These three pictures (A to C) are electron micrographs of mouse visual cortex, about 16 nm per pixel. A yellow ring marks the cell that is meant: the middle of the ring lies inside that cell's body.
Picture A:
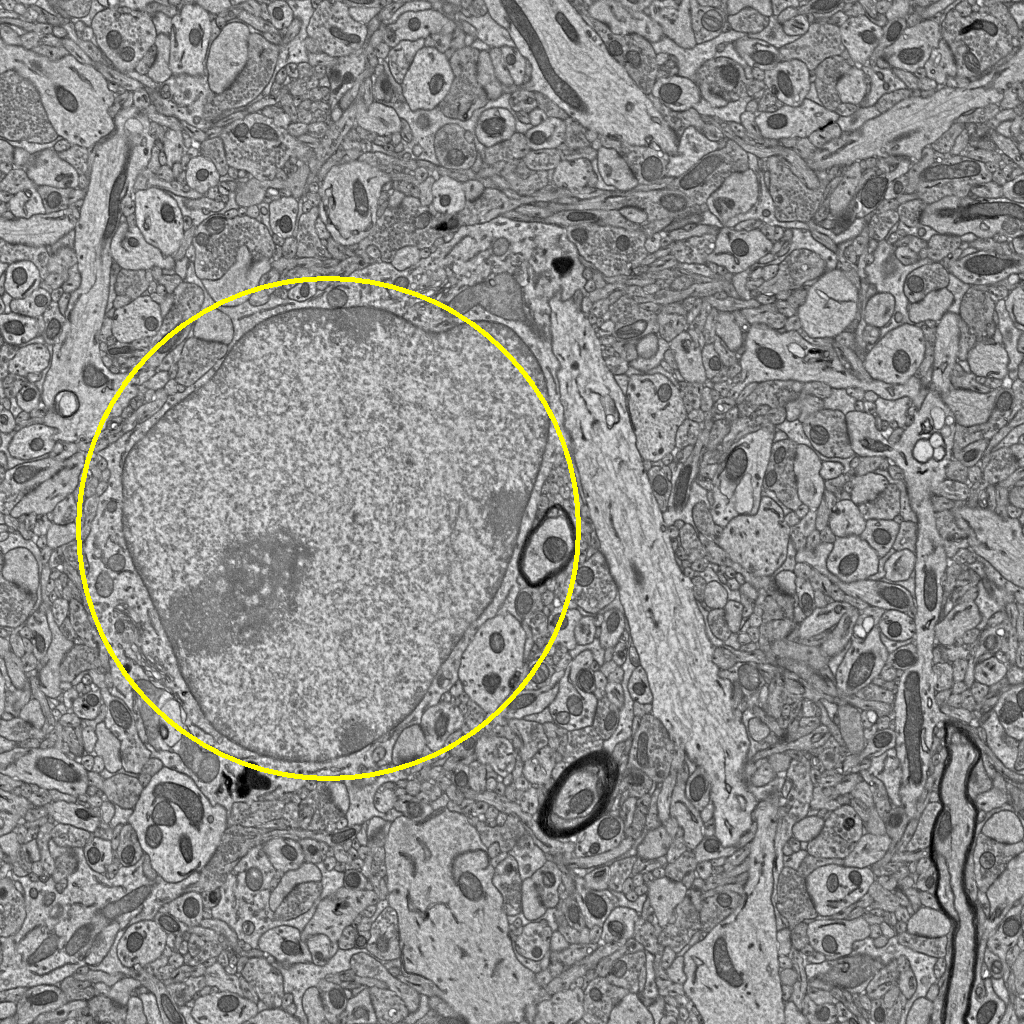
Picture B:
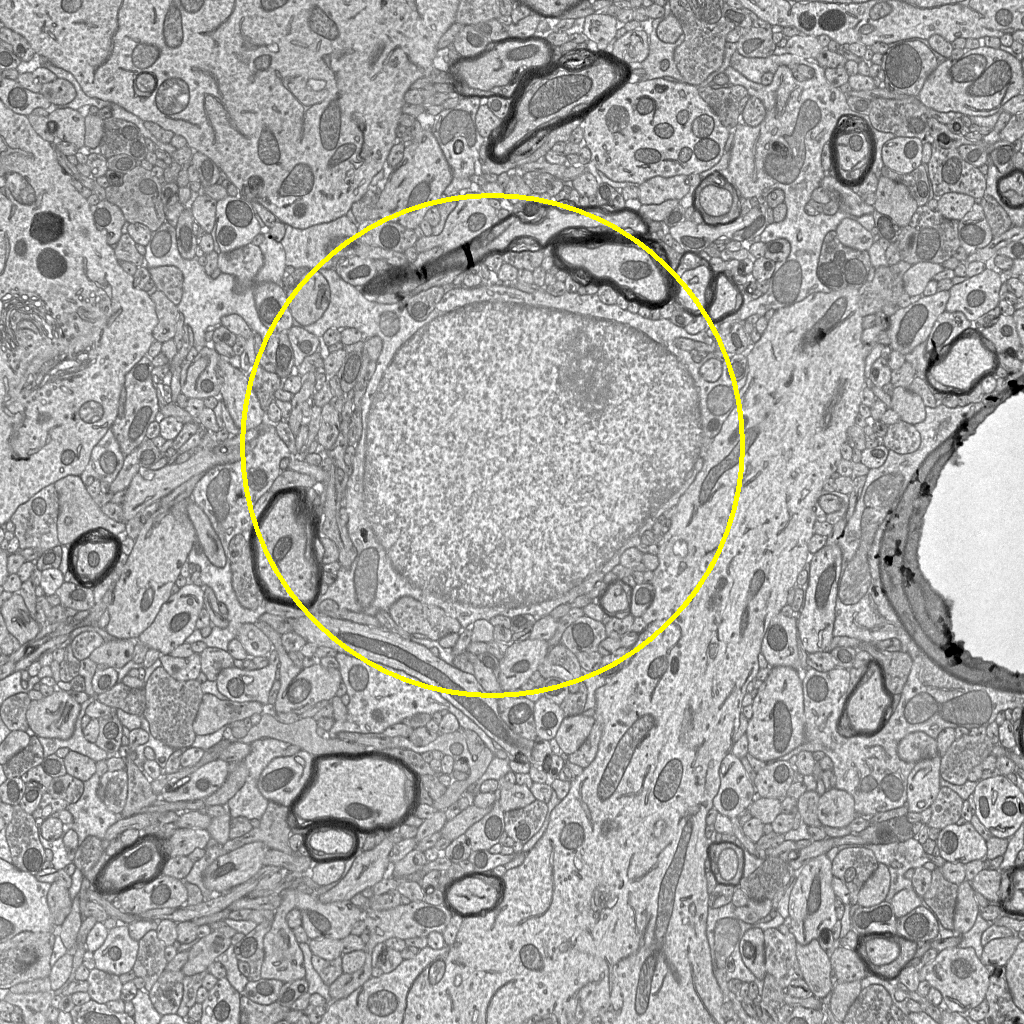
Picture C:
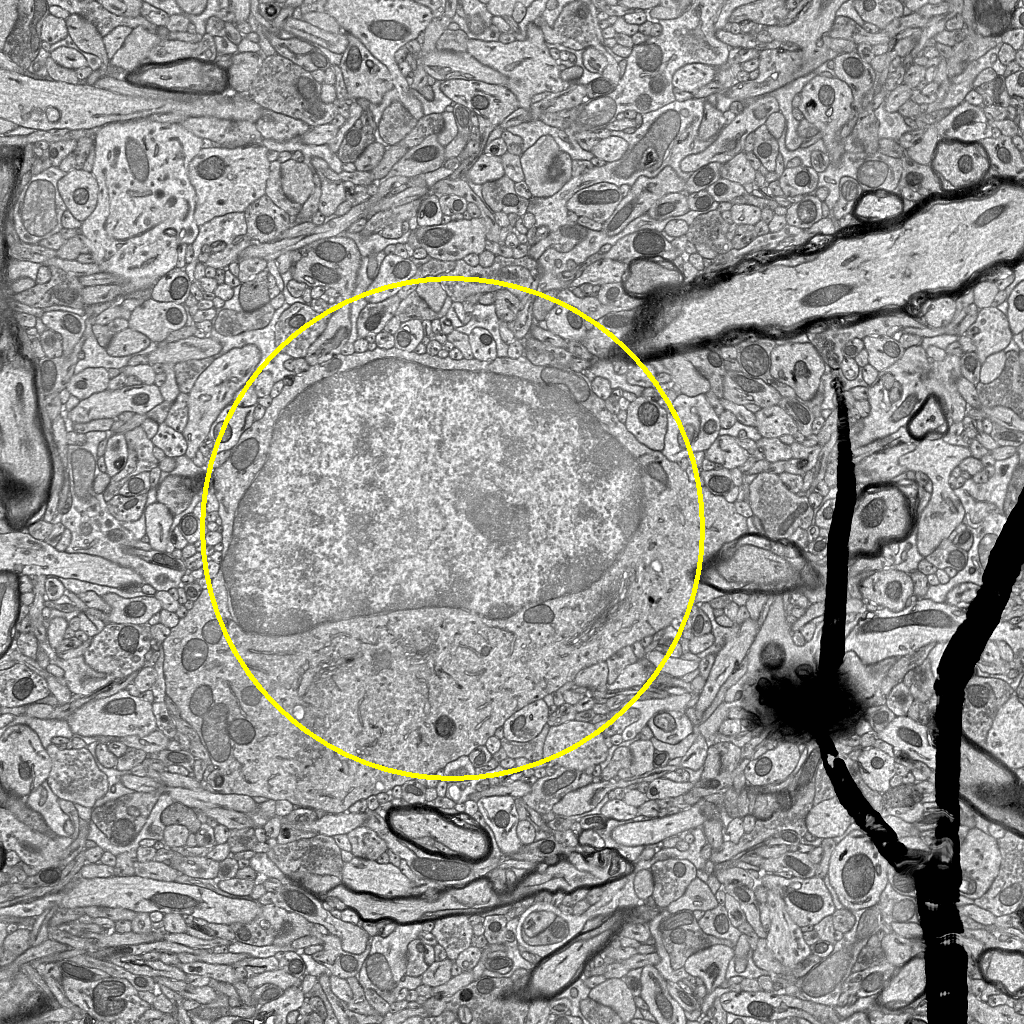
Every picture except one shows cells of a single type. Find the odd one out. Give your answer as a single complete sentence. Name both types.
Unlike the rest, which show astrocytes, picture C shows an oligodendrocyte.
